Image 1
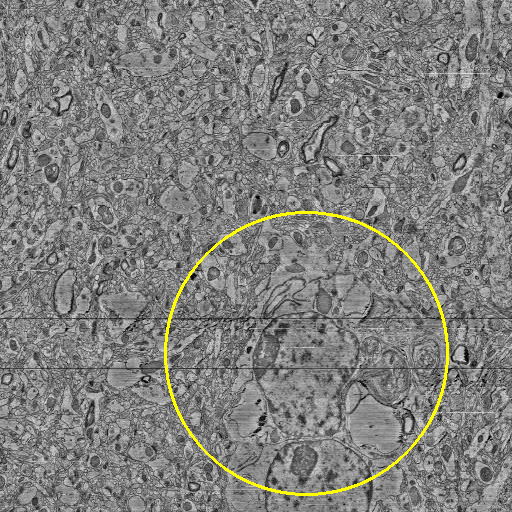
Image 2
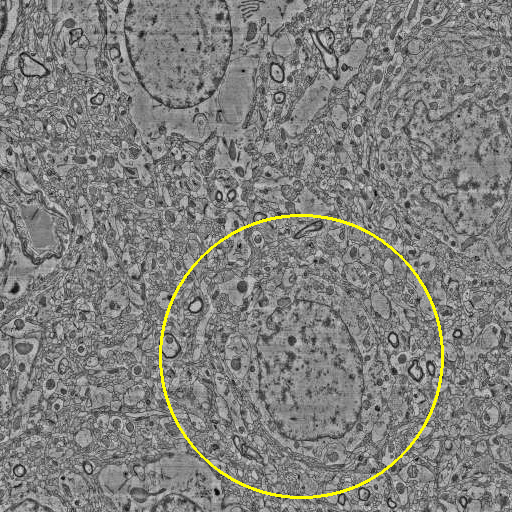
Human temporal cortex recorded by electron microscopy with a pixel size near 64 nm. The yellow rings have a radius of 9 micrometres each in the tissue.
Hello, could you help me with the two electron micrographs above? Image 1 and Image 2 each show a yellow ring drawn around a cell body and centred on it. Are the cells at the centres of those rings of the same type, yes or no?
no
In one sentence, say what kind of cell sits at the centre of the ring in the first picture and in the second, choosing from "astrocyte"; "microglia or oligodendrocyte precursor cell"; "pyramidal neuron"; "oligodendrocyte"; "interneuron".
The first picture's ringed cell is an astrocyte, while the second picture's is an interneuron.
